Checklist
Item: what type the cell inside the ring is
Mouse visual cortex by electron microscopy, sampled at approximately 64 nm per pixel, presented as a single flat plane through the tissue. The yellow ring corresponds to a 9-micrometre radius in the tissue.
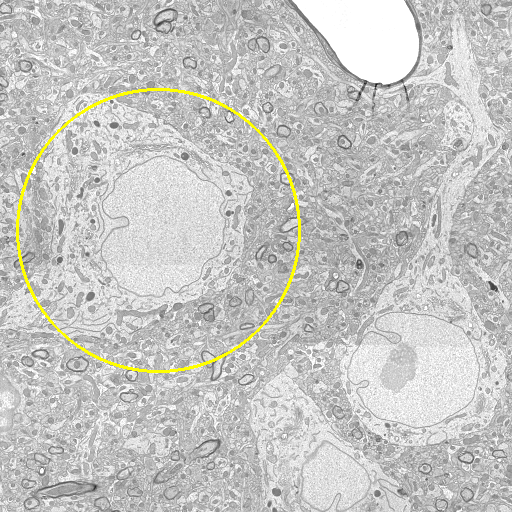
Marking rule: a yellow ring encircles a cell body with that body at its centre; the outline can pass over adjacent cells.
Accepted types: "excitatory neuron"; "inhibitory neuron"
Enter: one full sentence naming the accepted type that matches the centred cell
The entry is that an excitatory neuron lies at the centre of the yellow ring.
